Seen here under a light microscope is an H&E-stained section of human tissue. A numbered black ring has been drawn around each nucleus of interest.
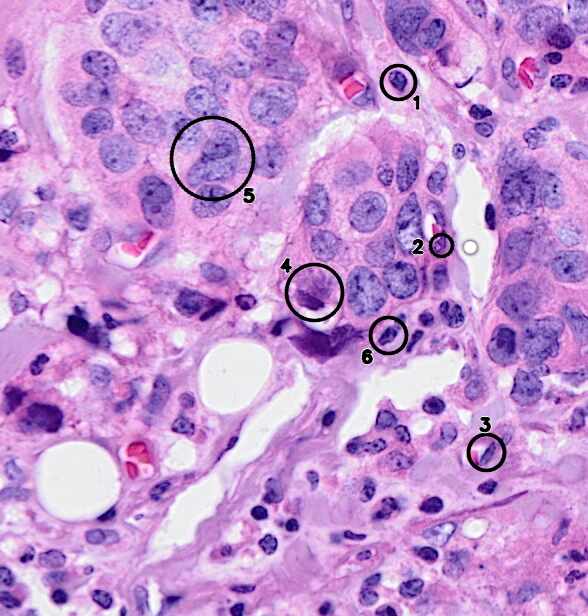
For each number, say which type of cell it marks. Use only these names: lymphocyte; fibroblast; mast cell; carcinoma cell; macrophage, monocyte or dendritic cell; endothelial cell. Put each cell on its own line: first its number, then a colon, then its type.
1: mast cell
2: endothelial cell
3: endothelial cell
4: carcinoma cell
5: carcinoma cell
6: lymphocyte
